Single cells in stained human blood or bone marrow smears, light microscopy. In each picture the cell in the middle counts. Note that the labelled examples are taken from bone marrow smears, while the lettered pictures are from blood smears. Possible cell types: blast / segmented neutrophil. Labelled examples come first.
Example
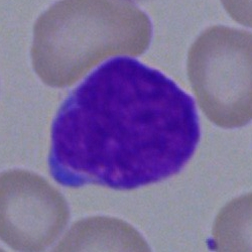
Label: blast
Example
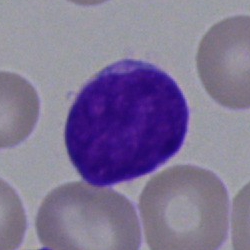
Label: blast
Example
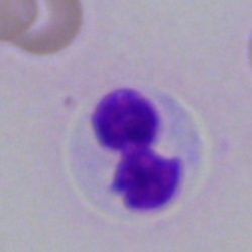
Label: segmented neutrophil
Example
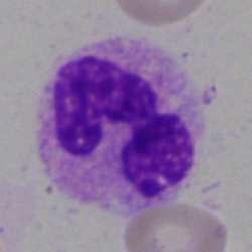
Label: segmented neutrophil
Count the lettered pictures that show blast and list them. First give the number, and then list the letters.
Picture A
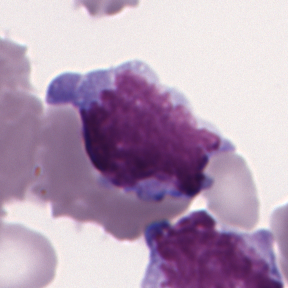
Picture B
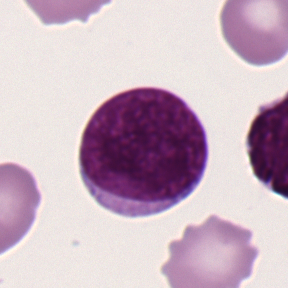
2: A, B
